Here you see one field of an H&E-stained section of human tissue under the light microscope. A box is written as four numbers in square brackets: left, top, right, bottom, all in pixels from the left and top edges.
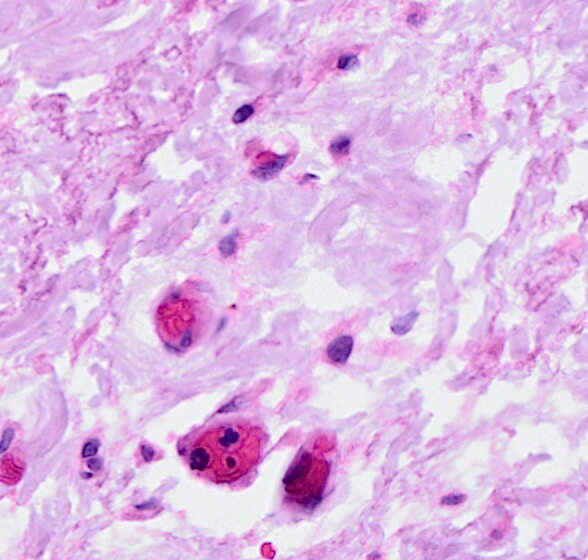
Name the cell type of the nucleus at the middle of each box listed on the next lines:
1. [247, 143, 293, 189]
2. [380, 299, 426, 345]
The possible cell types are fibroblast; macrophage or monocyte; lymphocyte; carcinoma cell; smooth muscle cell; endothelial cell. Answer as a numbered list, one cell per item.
1. endothelial cell
2. fibroblast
